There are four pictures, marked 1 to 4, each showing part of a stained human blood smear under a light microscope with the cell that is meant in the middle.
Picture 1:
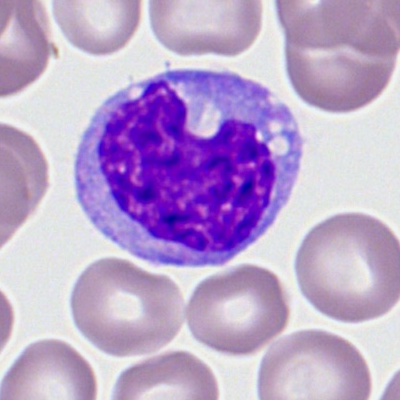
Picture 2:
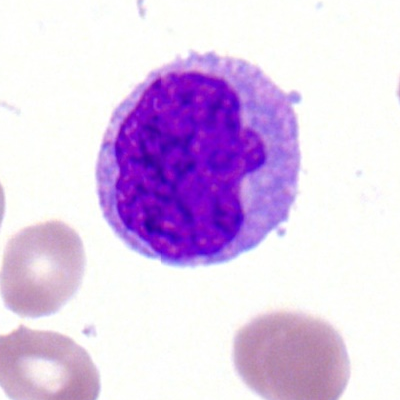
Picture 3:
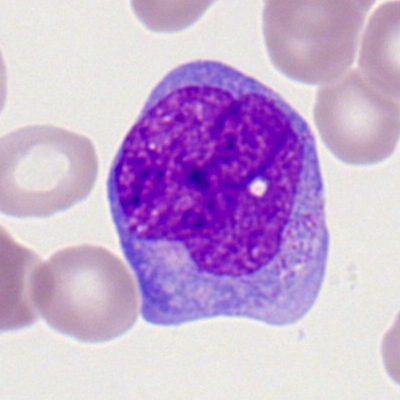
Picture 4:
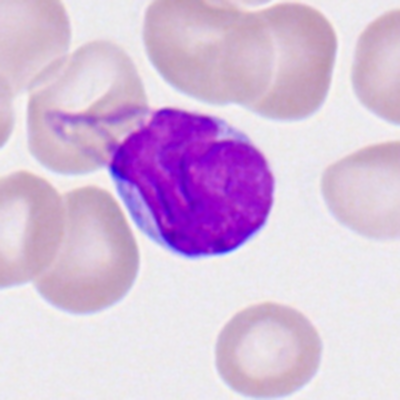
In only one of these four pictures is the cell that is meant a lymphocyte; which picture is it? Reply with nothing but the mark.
4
